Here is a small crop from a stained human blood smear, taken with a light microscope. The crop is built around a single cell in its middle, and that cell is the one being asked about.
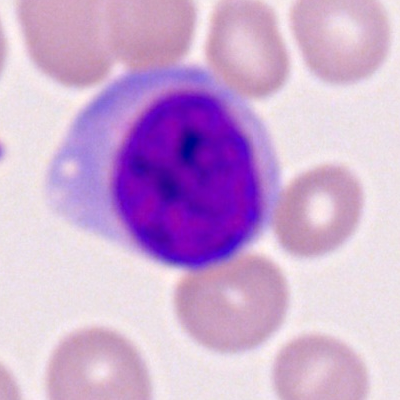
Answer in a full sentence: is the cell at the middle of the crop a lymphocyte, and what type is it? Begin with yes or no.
Yes, the middle cell here is a lymphocyte.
